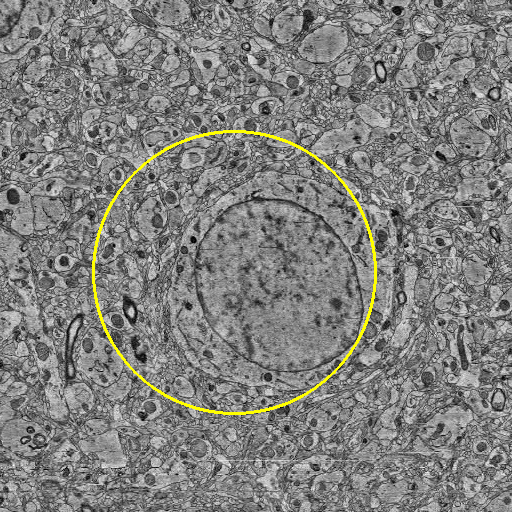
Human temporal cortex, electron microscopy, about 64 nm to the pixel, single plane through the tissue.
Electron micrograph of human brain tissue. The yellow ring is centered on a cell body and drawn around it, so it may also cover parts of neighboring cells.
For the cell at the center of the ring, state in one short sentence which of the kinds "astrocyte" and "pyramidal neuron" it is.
This ring is centered on a pyramidal neuron.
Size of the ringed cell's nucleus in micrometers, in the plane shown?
In this plane, roughly 12 by 10 micrometres.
